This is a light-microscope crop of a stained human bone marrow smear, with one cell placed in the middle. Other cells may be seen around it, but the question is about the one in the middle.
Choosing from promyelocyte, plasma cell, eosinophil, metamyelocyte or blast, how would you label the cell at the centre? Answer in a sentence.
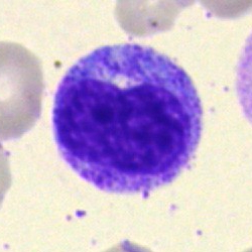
The cell under consideration, at the middle of the crop, is a metamyelocyte.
